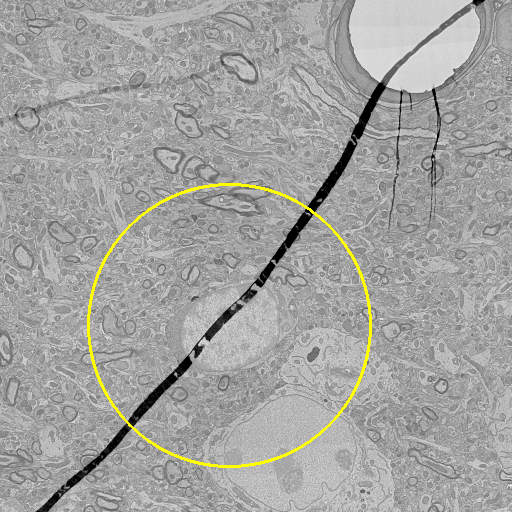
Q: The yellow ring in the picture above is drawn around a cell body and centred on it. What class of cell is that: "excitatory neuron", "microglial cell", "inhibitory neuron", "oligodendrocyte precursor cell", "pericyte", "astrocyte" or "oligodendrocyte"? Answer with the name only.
oligodendrocyte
